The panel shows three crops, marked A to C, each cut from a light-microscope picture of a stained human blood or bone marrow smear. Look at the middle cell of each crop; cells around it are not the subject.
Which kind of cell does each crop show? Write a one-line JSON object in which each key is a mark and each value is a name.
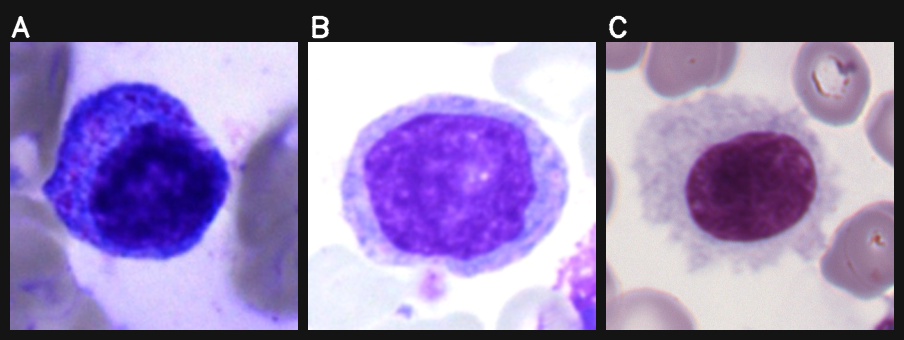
{"A": "promyelocyte", "B": "monocyte", "C": "hairy cell"}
